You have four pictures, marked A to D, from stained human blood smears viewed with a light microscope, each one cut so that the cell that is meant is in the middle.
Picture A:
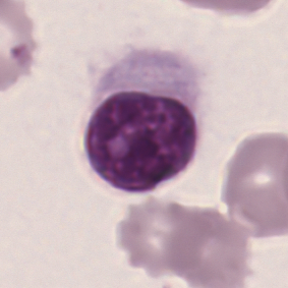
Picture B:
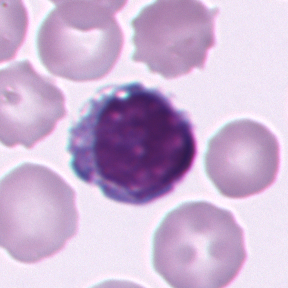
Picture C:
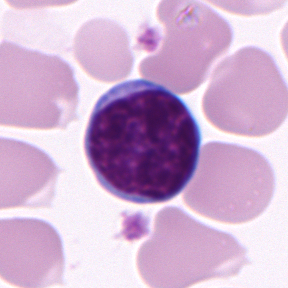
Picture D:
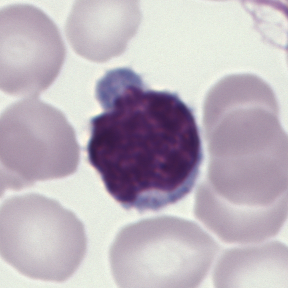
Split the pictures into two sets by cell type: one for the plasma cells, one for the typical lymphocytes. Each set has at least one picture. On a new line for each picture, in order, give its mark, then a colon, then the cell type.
A: plasma cell
B: typical lymphocyte
C: typical lymphocyte
D: typical lymphocyte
